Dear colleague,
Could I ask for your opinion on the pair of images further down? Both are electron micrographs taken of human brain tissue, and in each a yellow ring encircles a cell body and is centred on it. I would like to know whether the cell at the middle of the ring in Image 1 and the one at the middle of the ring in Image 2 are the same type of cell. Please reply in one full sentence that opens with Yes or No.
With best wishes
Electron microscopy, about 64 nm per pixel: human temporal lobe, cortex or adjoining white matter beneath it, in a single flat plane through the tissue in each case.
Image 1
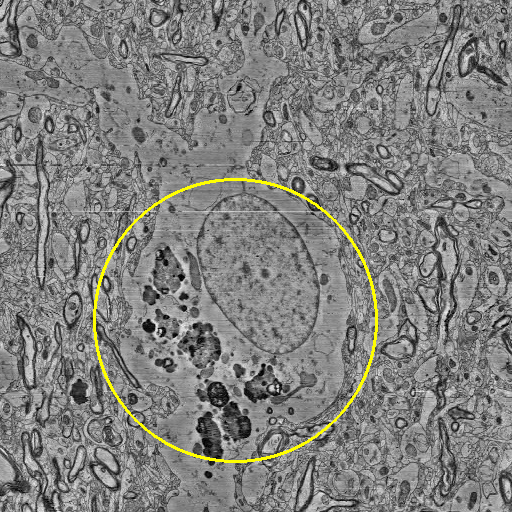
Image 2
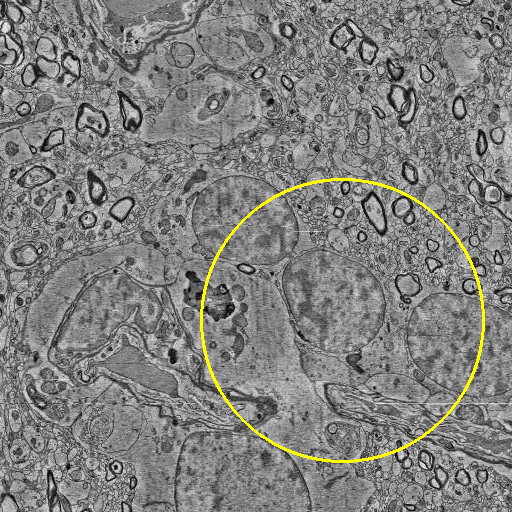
No, the cells at the ring centres in Image 1 and Image 2 are of two types.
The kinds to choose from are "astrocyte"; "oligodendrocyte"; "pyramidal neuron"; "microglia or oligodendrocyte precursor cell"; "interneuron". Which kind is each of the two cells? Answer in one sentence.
Of the two, the first cell is an astrocyte and the second cell is an oligodendrocyte.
